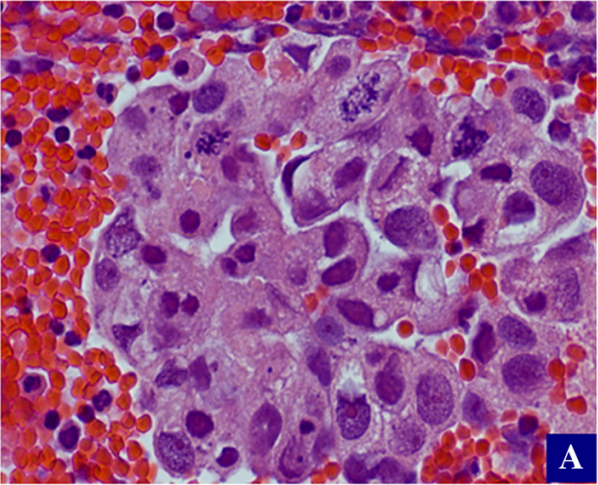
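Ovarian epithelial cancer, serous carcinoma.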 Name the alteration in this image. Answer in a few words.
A: Abundant non-mucinous cytoplasm.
